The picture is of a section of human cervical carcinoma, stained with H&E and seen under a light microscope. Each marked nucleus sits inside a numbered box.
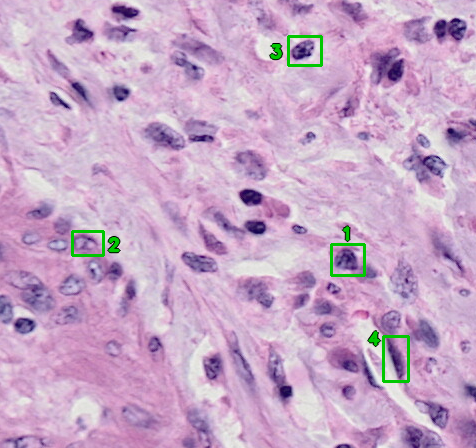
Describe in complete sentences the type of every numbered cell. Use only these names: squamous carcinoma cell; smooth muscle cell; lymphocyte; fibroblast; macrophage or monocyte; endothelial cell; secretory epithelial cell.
Cell 1 is a lymphocyte, cell 2 is a smooth muscle cell, cell 3 is a lymphocyte and cell 4 is an endothelial cell.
